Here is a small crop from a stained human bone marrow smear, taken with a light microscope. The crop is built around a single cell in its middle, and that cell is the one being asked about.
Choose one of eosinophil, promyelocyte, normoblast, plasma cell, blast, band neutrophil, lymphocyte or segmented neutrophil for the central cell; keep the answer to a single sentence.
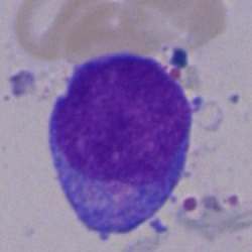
In the center of this field lies a blast.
